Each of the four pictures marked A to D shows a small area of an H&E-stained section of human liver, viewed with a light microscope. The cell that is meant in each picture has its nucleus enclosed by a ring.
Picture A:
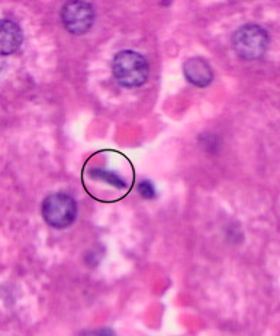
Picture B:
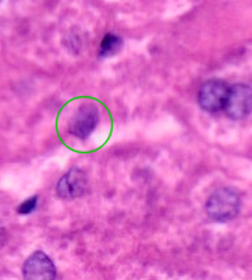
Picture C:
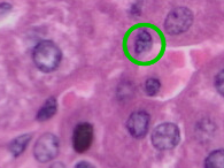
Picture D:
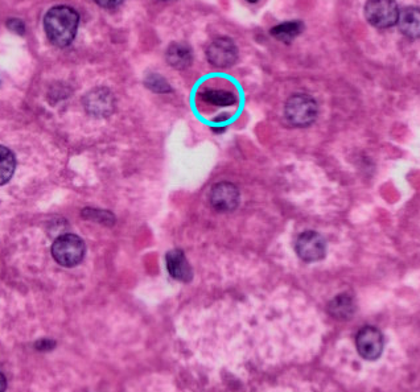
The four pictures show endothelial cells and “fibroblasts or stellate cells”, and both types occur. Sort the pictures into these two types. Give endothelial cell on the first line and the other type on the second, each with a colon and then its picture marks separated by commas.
endothelial cell: A, B
fibroblast or stellate cell: C, D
